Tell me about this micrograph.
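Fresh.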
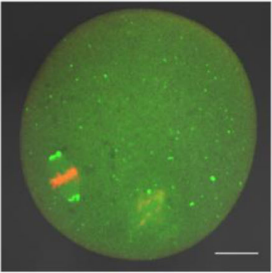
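This is a single large, round oocyte, seen whole, filling nearly the entire field. Its chromosomes, in red, are gathered into a compact band lying close to the cell's edge rather than in the middle. At the two ends of that band sit short bright green bars, placed on either side of the chromosomes like caps at the poles of a spindle. The rest of the broad cytoplasm has a faint even green tint sprinkled with small bright green dots. Nothing like a rounded interphase nucleus is seen; the DNA is condensed.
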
